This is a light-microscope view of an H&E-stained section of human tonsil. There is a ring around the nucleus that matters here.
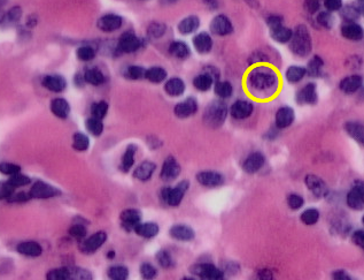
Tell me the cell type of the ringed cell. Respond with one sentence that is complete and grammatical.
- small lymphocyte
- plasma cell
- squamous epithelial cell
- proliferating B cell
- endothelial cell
Placed in its cell category, the ringed cell is a plasma cell.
